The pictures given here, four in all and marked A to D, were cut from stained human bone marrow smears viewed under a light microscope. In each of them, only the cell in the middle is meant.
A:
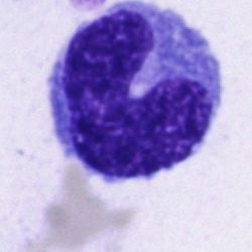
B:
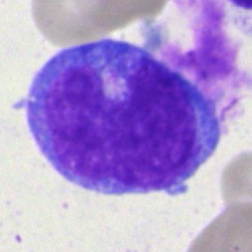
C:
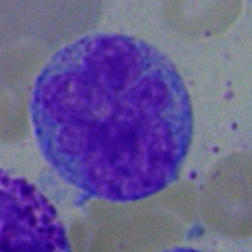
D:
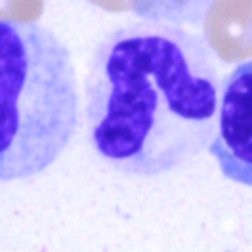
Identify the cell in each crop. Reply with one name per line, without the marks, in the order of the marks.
monocyte
monocyte
monocyte
band neutrophil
